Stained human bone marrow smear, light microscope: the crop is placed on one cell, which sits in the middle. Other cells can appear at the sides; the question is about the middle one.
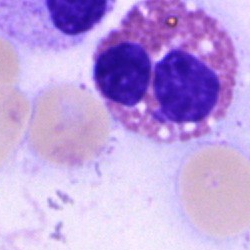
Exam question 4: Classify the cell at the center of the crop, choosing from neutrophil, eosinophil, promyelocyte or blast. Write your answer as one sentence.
Centrally within this crop lies an eosinophil.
